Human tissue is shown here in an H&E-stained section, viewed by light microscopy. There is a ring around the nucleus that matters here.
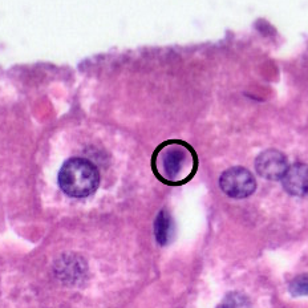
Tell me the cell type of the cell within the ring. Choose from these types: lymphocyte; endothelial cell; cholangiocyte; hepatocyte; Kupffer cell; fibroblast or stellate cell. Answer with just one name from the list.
fibroblast or stellate cell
